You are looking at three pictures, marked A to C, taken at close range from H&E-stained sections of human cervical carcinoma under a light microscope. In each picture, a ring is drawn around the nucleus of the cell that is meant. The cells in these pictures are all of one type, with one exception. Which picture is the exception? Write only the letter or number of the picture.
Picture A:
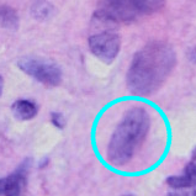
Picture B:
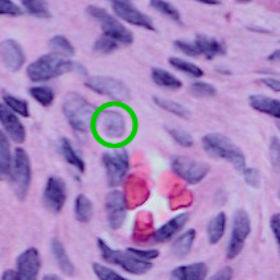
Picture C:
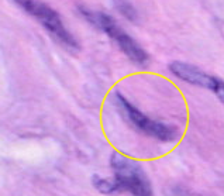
B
